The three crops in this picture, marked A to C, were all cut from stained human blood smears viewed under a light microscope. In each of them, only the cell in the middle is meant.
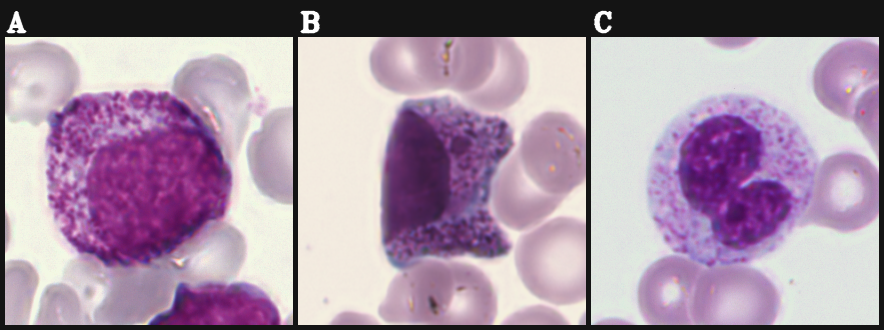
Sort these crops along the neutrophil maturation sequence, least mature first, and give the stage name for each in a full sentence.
Along the maturation line, from least to most mature, sit crop B (a promyelocyte), crop A (a myelocyte) and crop C (a band neutrophil).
